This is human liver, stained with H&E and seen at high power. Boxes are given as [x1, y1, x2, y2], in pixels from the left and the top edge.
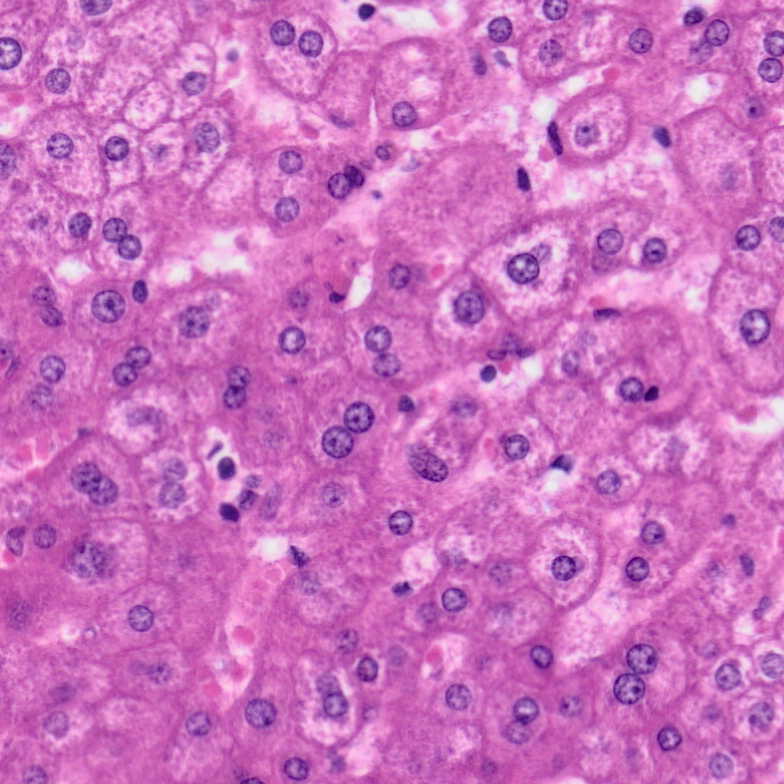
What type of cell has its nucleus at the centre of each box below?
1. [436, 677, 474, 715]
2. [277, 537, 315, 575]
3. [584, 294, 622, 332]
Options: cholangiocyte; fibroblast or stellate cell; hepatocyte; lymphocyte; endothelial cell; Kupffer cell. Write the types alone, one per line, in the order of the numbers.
hepatocyte
endothelial cell
endothelial cell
